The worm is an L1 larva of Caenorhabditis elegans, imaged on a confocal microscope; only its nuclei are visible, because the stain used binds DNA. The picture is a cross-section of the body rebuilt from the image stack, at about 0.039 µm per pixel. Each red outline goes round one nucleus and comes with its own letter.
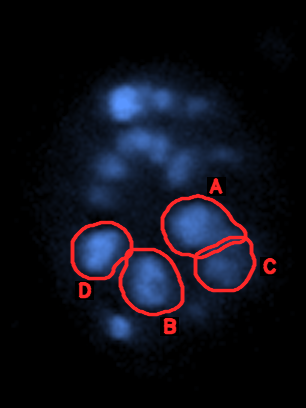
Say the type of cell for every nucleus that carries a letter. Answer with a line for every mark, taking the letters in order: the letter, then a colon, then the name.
A: pharyngeal marginal cell
B: pharyngeal muscle cell
C: glial cell (sheath or socket)
D: pharyngeal marginal cell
